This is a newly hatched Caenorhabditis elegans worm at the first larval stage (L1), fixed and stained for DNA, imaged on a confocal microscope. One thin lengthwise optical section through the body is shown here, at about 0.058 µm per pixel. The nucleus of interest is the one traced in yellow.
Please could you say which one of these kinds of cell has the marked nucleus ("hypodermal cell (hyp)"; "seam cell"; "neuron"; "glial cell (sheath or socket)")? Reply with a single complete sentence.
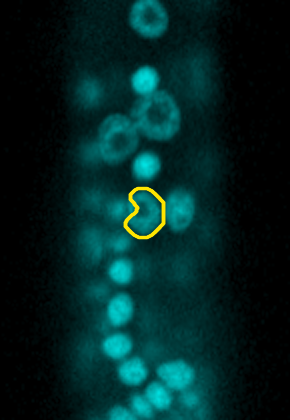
This nucleus is from a seam cell.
